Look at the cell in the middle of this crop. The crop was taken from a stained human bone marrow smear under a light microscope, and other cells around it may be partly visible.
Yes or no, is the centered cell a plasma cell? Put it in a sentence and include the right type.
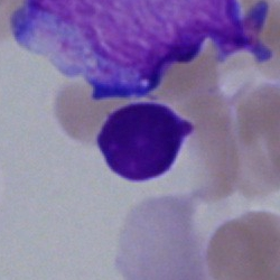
No, the central cell is classed as a lymphocyte, not a plasma cell.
